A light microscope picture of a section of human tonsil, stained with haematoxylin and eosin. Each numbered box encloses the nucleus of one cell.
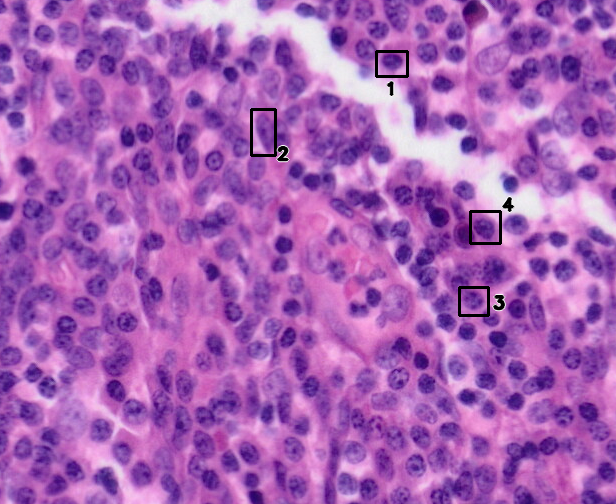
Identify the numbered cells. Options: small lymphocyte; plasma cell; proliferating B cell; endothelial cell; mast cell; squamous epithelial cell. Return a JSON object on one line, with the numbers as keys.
{"1": "plasma cell", "2": "squamous epithelial cell", "3": "plasma cell", "4": "plasma cell"}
